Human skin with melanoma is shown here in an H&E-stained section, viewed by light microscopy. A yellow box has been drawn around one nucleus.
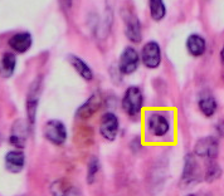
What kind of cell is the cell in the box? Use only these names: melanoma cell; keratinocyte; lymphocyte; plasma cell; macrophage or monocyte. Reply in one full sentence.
Assigned to a cell type, the cell in the box is a plasma cell.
